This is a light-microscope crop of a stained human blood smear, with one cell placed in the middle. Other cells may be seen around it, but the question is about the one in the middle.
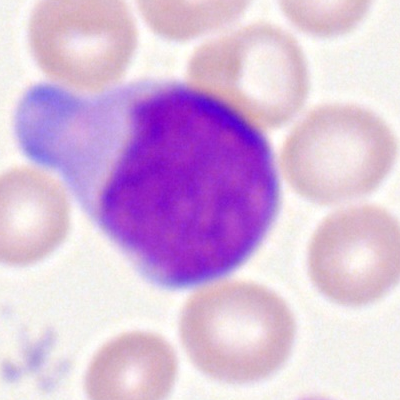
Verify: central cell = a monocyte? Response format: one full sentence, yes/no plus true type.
No, the cell in the middle is a myeloblast; it is not a monocyte.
